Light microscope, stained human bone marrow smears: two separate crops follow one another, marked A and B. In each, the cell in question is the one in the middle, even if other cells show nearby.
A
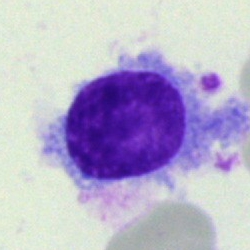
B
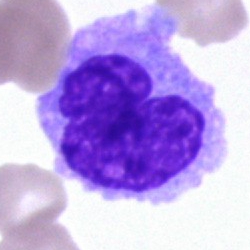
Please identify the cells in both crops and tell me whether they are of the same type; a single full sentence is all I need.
No, crop A depicts a hairy cell, and crop B depicts a monocyte.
